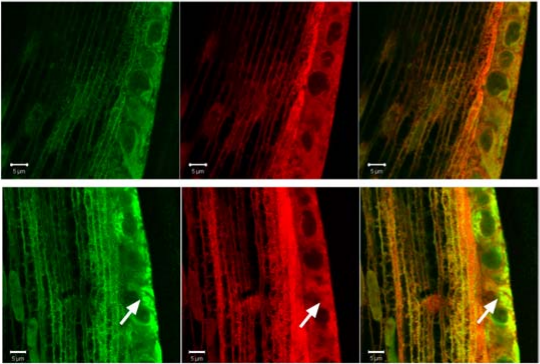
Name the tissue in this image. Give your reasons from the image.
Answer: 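Cells with rounded nuclei line the right edge. Long, parallel fibers run alongside them in a regular array. That points to this answer: Equatorial lens epithelium and fibers.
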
